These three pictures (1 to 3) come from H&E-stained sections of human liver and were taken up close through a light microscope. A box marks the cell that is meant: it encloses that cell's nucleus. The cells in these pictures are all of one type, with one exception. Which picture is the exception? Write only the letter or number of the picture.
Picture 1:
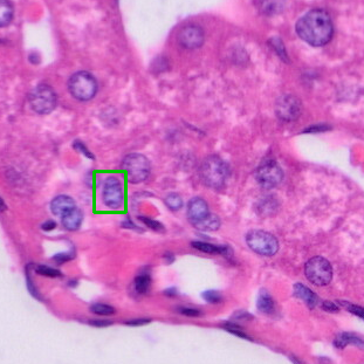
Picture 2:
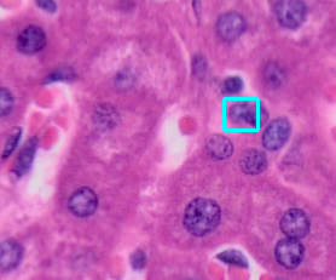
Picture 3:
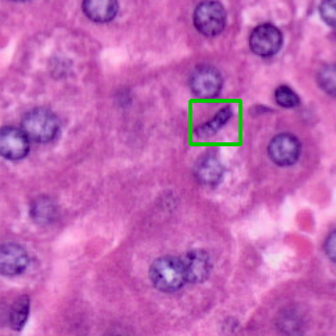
3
